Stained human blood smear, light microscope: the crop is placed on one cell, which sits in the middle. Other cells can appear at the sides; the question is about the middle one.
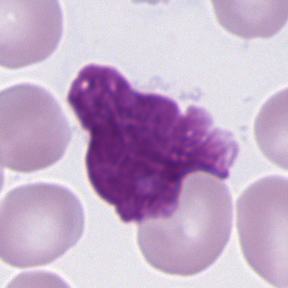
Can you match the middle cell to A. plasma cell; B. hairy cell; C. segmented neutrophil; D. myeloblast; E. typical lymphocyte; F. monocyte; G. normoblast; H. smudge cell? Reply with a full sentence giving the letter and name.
Option H is the keyed answer: the cell in the middle is a smudge cell.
